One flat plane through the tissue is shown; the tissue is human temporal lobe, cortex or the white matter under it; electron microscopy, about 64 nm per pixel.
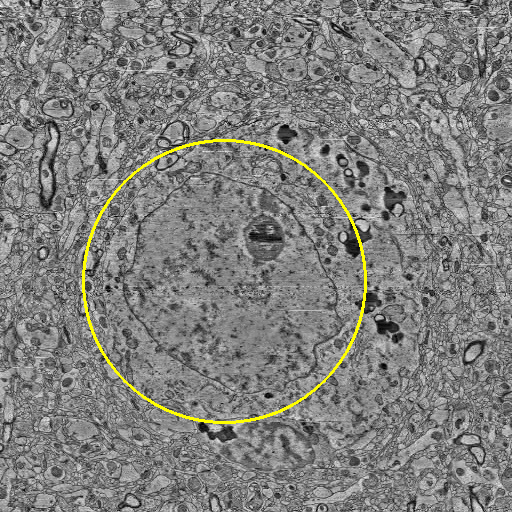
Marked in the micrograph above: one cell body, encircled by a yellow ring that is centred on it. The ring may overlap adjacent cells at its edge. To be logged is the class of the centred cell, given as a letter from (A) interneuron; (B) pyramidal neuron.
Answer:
B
